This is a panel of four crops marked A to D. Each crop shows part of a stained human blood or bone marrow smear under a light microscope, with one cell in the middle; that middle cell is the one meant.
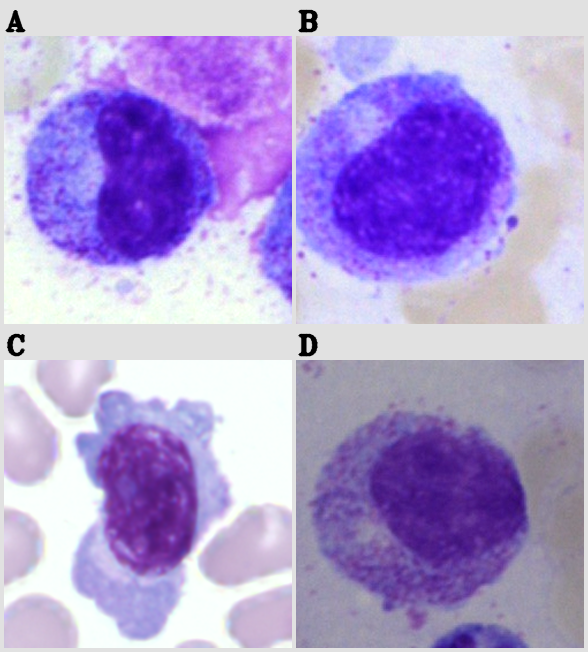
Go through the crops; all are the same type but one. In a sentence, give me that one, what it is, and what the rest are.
Although the other crops all show myelocytes, crop C shows a plasma cell.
